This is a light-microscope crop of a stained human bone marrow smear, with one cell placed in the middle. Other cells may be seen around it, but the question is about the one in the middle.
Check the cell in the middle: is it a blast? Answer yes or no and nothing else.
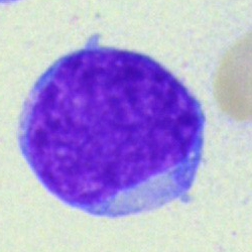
yes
